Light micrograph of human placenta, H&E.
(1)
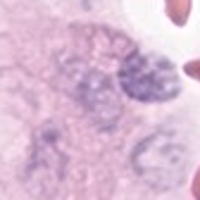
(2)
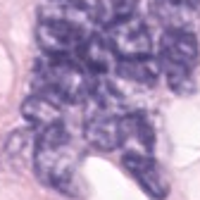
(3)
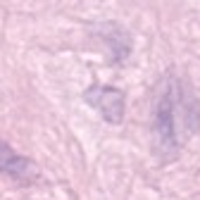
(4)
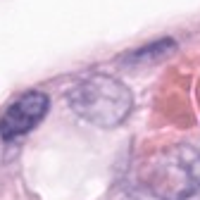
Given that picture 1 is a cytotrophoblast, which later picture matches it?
4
